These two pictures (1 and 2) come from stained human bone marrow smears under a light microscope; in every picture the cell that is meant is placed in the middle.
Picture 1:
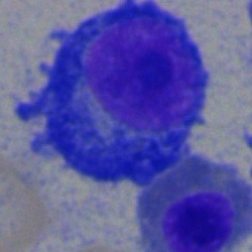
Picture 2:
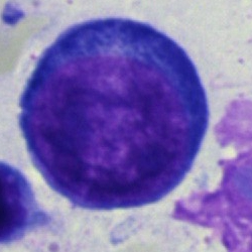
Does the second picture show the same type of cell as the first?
no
